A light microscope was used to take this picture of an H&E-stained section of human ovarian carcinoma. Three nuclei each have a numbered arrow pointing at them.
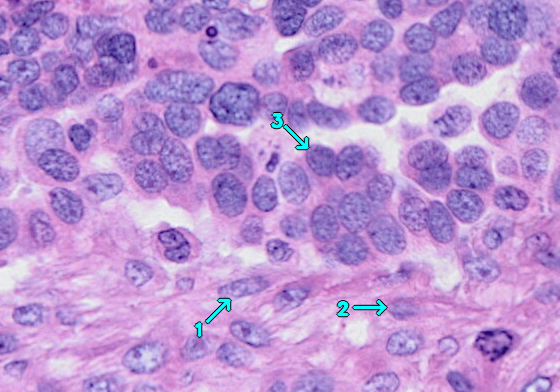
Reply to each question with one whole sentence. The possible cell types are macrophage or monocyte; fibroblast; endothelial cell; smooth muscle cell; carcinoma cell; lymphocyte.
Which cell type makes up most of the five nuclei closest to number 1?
Around number 1, most of the five nearest nuclei are those of fibroblasts.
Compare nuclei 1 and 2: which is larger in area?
Nucleus 1 covers more area, about 1.5 times as much as nucleus 2.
